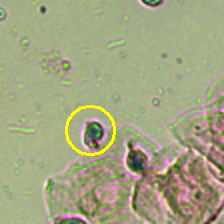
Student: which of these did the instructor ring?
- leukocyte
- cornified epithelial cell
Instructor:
The cell I ringed is a leukocyte.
